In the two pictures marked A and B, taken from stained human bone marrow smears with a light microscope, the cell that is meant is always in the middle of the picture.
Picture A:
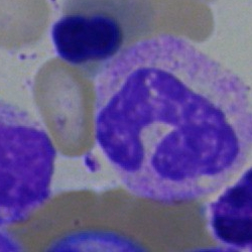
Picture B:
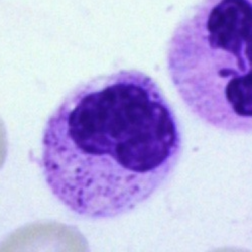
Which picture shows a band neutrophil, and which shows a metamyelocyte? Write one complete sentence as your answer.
Picture A is of a band neutrophil, and picture B is of a metamyelocyte.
